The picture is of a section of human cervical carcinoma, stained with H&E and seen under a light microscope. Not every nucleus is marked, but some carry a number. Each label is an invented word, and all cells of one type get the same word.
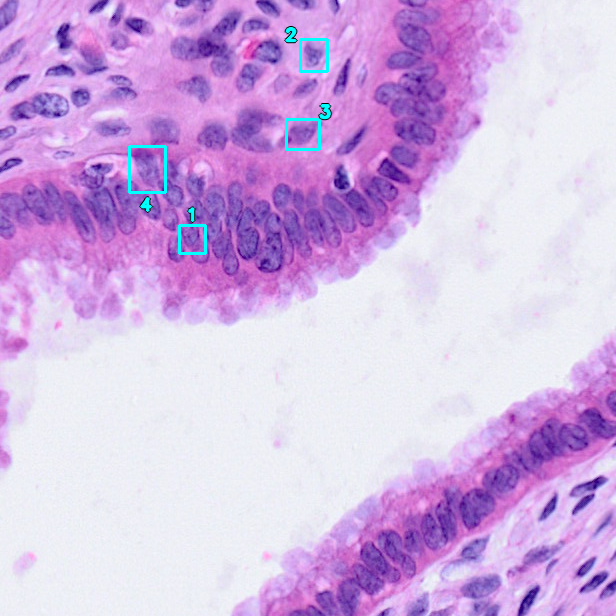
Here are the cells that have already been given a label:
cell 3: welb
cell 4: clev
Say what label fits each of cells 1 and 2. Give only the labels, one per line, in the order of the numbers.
clev
welb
